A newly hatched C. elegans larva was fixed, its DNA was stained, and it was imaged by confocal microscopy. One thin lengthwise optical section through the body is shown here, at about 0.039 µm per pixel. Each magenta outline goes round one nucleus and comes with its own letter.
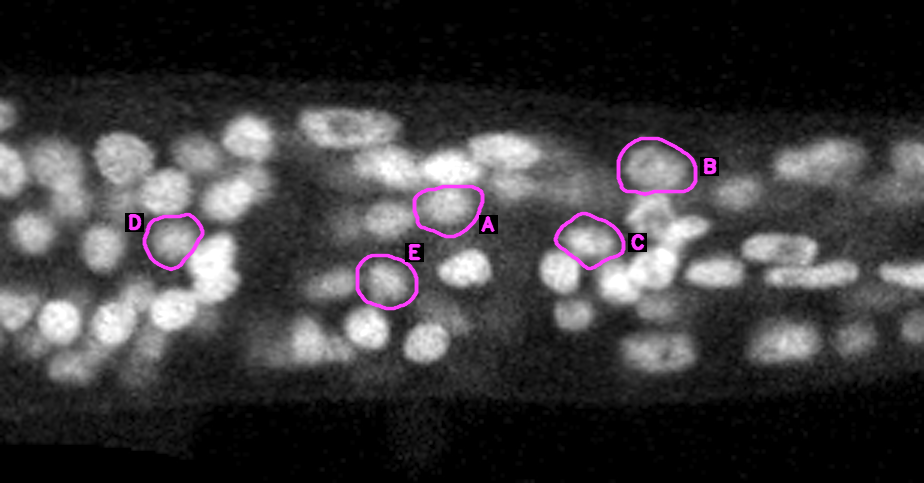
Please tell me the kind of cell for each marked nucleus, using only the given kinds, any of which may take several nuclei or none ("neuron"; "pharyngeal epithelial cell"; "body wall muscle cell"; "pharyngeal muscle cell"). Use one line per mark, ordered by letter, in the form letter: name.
A: neuron
B: body wall muscle cell
C: pharyngeal muscle cell
D: neuron
E: neuron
